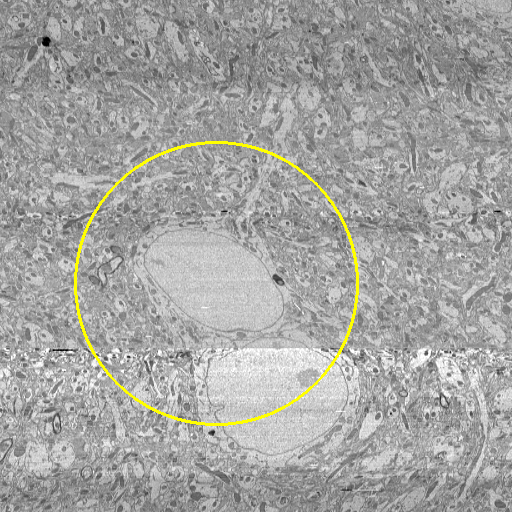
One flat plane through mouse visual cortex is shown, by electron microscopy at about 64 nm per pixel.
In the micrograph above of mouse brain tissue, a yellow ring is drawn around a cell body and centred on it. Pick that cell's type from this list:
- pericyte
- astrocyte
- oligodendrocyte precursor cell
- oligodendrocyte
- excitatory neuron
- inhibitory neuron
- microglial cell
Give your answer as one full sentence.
Going by the list, an excitatory neuron is the cell on which the yellow ring is centred.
